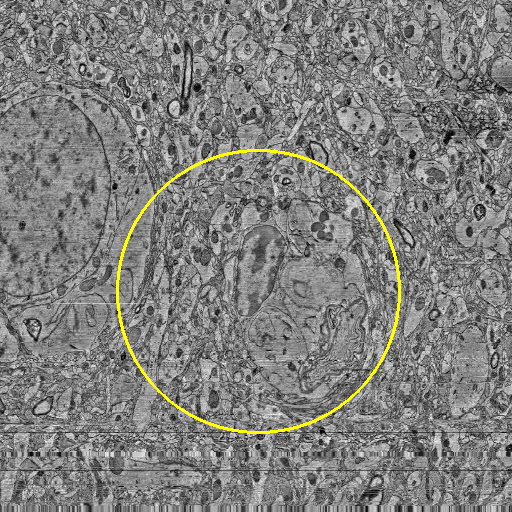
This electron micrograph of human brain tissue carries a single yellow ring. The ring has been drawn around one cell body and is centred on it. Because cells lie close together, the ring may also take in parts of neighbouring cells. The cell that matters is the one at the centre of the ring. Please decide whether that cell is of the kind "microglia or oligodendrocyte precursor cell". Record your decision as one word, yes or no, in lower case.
yes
